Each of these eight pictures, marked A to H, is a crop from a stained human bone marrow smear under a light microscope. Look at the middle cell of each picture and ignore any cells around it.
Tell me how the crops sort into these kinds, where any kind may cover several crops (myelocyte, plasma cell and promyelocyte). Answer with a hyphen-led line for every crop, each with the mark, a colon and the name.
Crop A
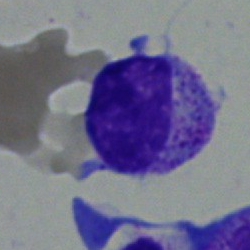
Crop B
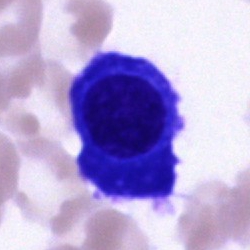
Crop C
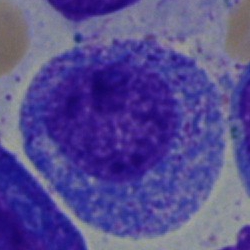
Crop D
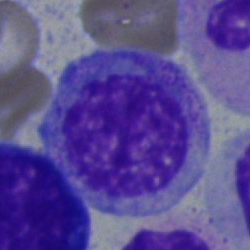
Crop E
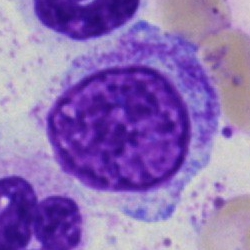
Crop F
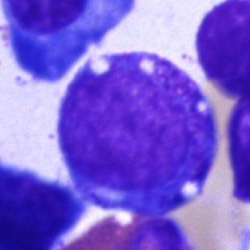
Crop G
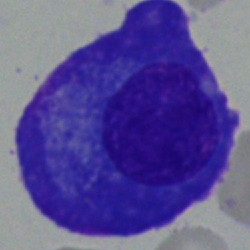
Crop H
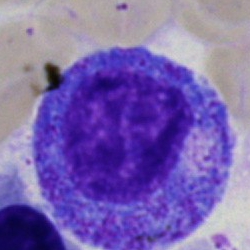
- A: myelocyte
- B: plasma cell
- C: promyelocyte
- D: myelocyte
- E: myelocyte
- F: promyelocyte
- G: plasma cell
- H: promyelocyte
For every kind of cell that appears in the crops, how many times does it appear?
myelocyte: 3
promyelocyte: 3
plasma cell: 2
